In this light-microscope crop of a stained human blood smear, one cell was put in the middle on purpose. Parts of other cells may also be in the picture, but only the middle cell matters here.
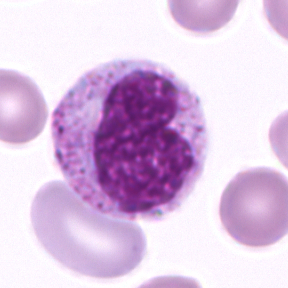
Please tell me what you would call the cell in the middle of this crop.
band neutrophil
